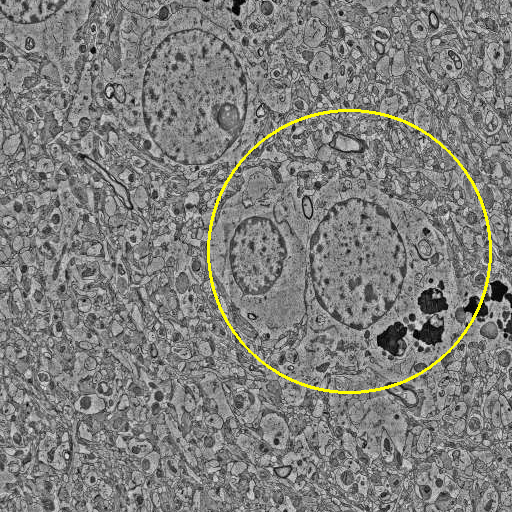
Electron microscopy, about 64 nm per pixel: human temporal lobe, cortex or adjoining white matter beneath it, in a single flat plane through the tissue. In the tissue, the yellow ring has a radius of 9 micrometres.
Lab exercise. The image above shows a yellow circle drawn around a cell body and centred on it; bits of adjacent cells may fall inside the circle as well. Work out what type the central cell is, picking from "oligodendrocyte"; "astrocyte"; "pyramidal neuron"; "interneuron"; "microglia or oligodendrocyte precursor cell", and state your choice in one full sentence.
In the image above, the cell at the centre of the yellow circle is an astrocyte.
